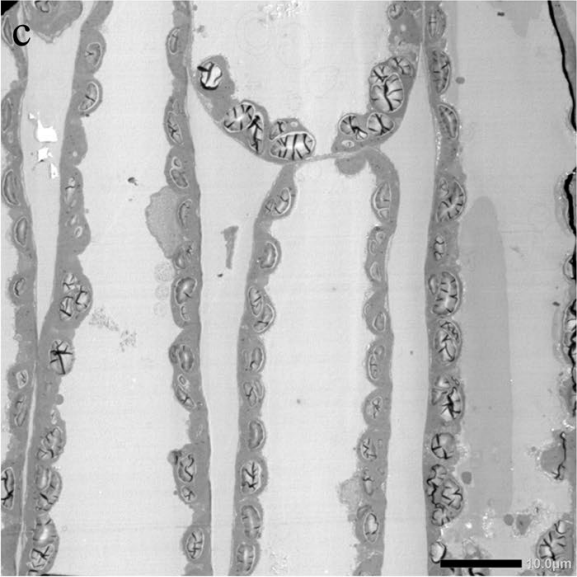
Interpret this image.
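Electron micrograph of elongated mesophyll cells lying side by side, each with a large pale central vacuole and a thin rim of cytoplasm along the walls. Lens-shaped chloroplasts are lined up densely in this rim, many holding pale inclusions crossed by dark cracks. Some cell ends curve and abut neighbouring cells.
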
